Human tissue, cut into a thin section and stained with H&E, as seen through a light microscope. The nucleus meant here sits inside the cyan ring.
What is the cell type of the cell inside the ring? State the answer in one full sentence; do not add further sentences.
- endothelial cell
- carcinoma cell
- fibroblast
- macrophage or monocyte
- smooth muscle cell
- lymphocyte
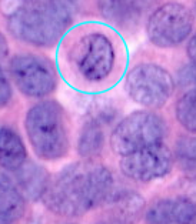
Labelled by cell type, the cell inside the ring is a macrophage or monocyte.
